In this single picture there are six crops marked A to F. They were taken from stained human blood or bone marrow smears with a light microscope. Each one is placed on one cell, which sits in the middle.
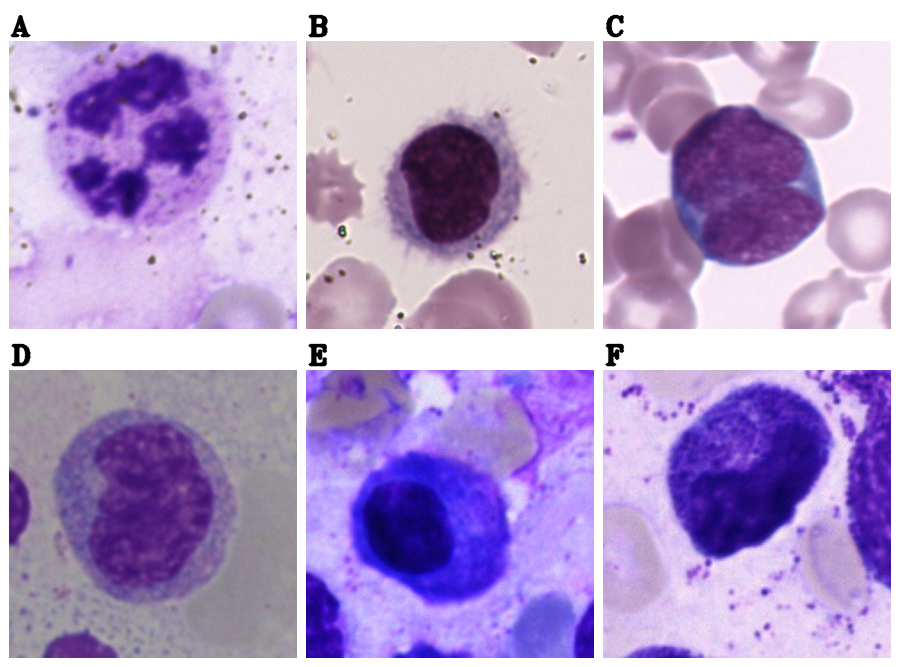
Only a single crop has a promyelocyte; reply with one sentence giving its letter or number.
Crop F is the one that shows a promyelocyte.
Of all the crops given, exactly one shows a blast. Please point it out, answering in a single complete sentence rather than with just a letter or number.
Crop C is the single crop that shows a blast.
